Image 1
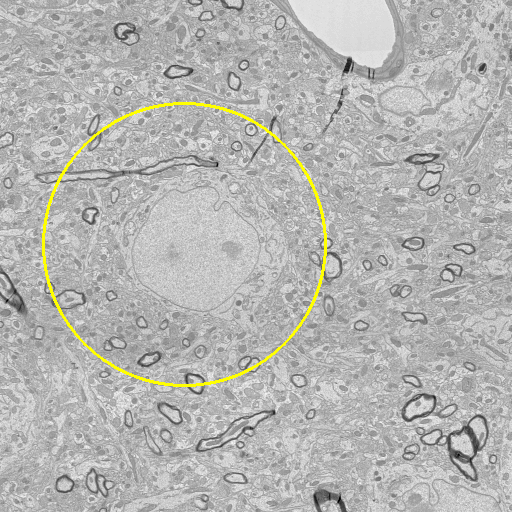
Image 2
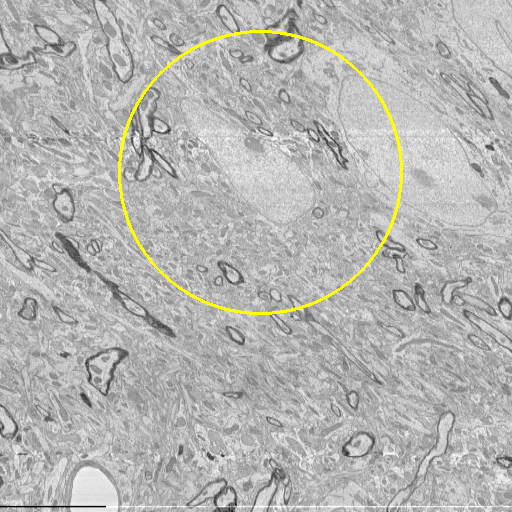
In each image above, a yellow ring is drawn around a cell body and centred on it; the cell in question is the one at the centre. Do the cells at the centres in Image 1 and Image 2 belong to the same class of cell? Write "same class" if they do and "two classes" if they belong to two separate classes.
two classes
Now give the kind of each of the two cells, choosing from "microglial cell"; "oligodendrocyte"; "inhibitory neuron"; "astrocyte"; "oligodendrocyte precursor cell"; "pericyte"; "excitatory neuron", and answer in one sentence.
The cell in the first picture is an excitatory neuron, and the cell in the second is an astrocyte.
